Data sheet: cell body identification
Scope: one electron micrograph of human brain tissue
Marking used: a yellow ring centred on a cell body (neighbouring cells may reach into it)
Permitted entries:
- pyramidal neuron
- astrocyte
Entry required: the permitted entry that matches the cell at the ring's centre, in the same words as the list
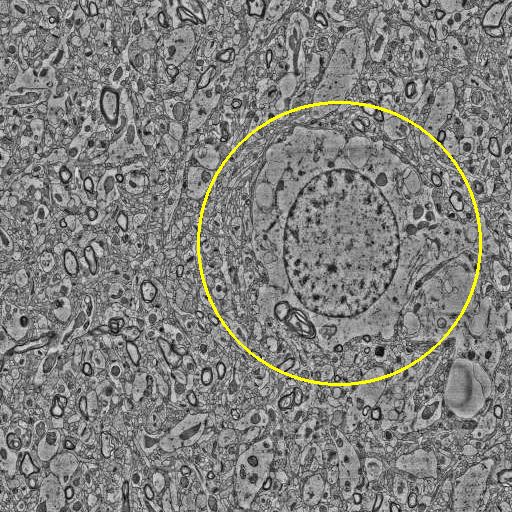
astrocyte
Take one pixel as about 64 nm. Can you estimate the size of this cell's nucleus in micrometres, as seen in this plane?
In this plane the nucleus spans approximately 9 by 7 micrometers.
